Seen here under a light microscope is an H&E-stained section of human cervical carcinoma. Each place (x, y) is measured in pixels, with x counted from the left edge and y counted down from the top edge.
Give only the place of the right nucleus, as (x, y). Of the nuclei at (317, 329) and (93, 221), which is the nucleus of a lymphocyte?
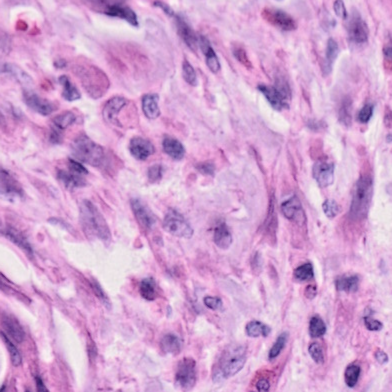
(317, 329)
